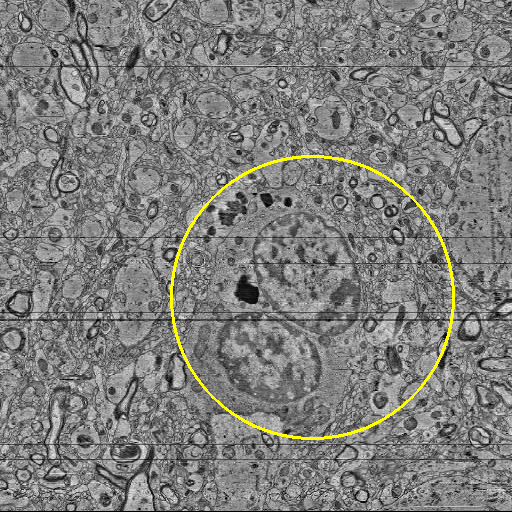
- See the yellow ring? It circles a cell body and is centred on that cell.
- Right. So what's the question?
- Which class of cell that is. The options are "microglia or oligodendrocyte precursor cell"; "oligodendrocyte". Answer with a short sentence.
The centre of the ring holds an oligodendrocyte.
